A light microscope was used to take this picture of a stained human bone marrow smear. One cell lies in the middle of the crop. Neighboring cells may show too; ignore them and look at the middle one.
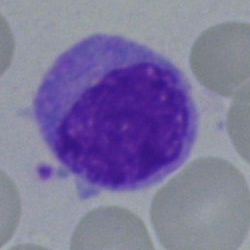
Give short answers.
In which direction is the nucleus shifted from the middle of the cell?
lower right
